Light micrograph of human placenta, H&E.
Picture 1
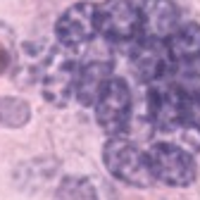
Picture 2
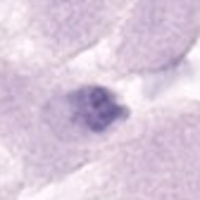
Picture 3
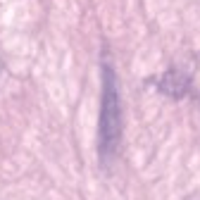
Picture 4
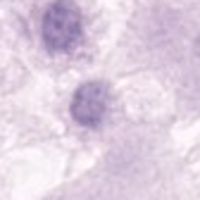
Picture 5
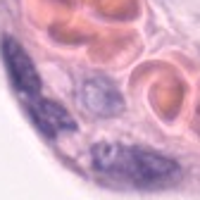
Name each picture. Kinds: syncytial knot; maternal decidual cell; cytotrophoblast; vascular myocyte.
1. syncytial knot
2. maternal decidual cell
3. vascular myocyte
4. maternal decidual cell
5. cytotrophoblast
